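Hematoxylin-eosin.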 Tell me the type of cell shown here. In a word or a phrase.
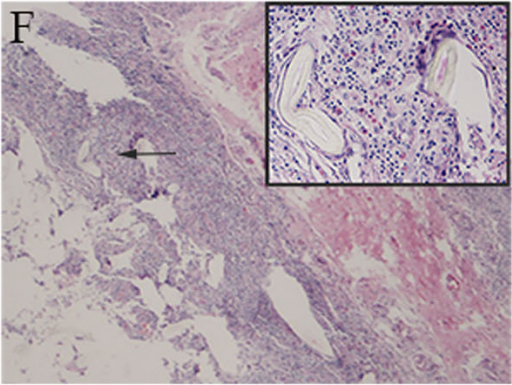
histiocytic giant cells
